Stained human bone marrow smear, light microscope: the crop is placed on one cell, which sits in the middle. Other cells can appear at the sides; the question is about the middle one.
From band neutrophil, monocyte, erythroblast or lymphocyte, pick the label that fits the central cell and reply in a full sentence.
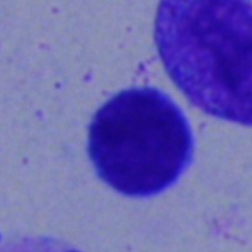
As for the cell in the middle, it is a lymphocyte.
